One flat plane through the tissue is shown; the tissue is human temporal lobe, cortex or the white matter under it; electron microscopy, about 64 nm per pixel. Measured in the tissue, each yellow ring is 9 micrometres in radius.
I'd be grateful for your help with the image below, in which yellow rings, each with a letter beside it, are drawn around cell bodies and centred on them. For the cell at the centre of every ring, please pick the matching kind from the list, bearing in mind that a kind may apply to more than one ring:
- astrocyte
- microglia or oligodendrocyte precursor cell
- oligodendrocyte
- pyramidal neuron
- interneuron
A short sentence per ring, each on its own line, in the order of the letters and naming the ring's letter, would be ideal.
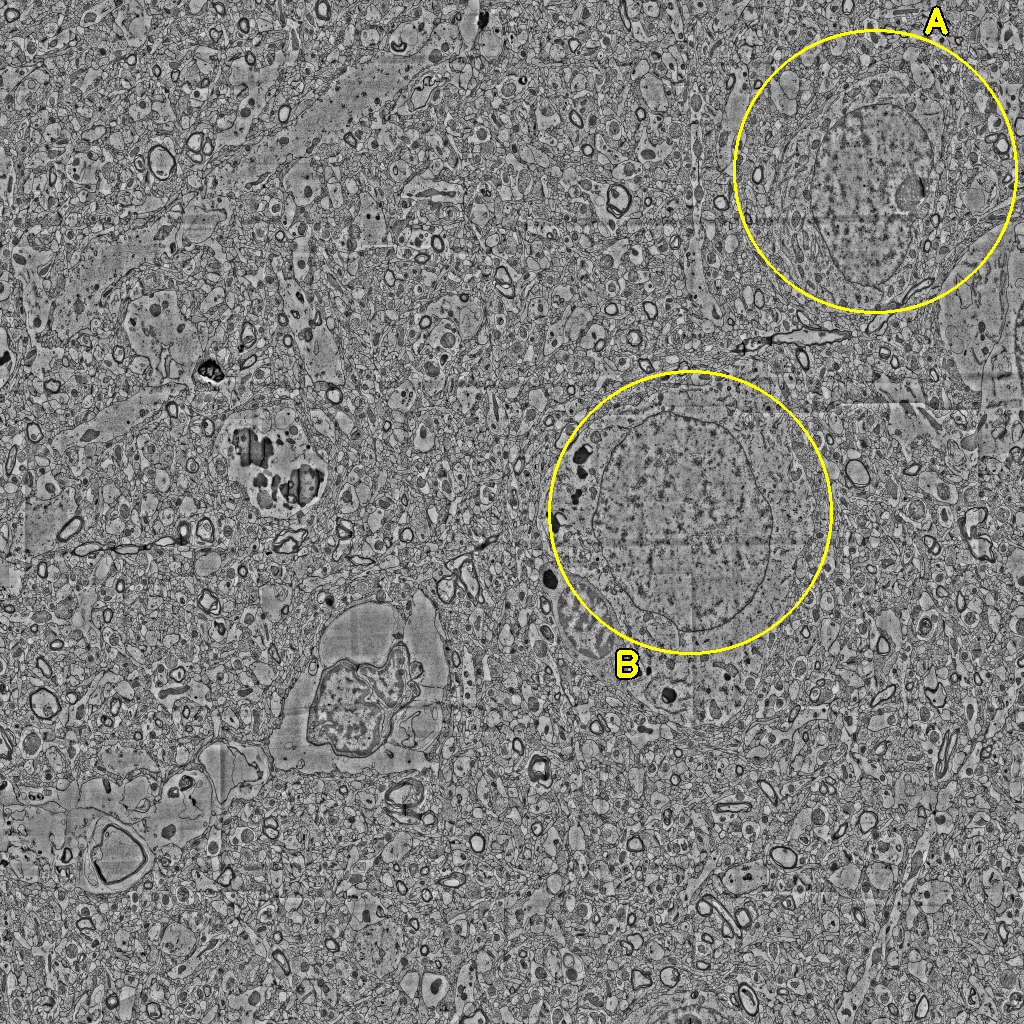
Inside ring A, the central cell is an interneuron.
Inside ring B, the central cell is a pyramidal neuron.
